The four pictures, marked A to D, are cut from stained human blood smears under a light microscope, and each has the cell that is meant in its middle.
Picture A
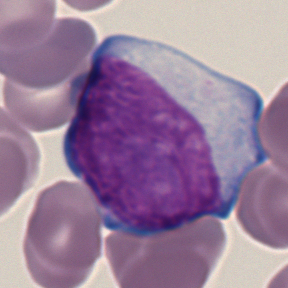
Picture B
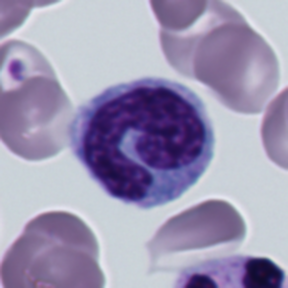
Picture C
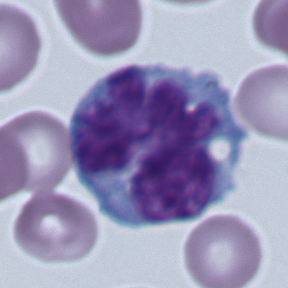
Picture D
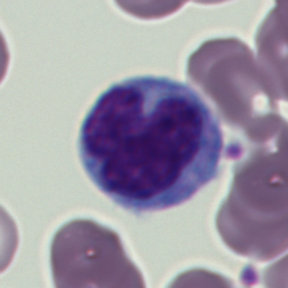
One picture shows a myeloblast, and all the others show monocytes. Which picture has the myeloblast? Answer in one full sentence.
The picture with the myeloblast is A.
